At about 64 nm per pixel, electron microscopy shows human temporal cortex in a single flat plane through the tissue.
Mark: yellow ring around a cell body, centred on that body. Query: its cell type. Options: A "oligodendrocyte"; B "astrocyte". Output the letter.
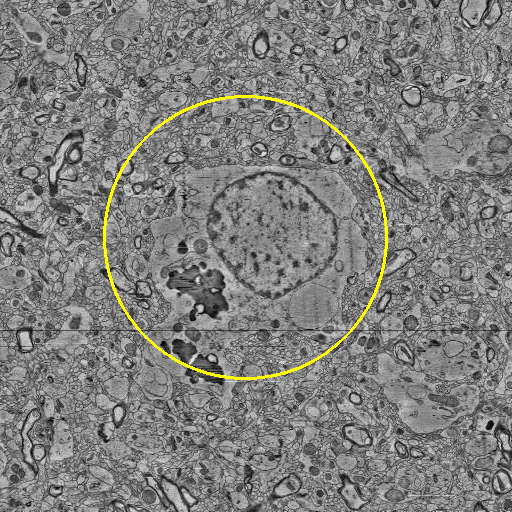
B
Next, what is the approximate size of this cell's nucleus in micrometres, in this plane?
Roughly 8 micrometers across in this plane.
